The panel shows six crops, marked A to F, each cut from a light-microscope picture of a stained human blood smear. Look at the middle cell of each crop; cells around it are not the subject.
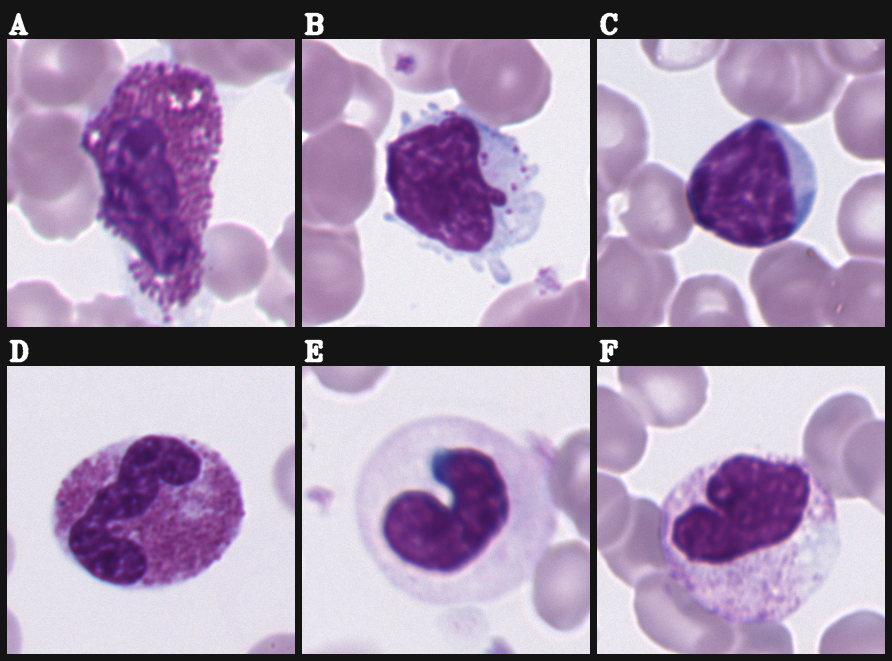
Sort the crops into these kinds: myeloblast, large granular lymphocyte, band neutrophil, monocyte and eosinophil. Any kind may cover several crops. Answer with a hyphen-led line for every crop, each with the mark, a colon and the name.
- A: eosinophil
- B: large granular lymphocyte
- C: myeloblast
- D: eosinophil
- E: band neutrophil
- F: band neutrophil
